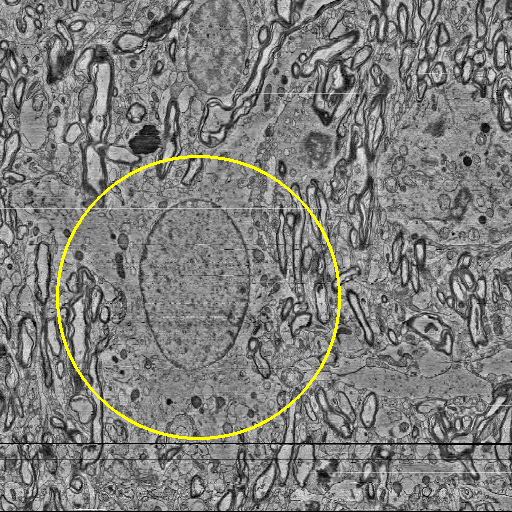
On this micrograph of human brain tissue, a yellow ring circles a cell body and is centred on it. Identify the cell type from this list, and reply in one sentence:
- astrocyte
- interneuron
The cell at the centre is an astrocyte.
